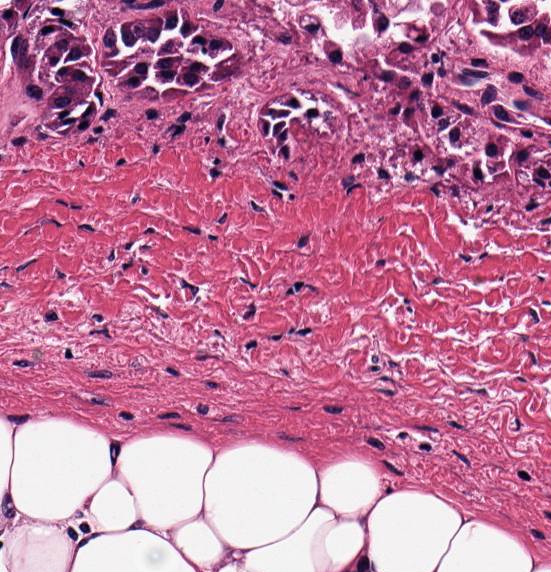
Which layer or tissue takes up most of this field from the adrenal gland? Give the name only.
dense connective tissue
